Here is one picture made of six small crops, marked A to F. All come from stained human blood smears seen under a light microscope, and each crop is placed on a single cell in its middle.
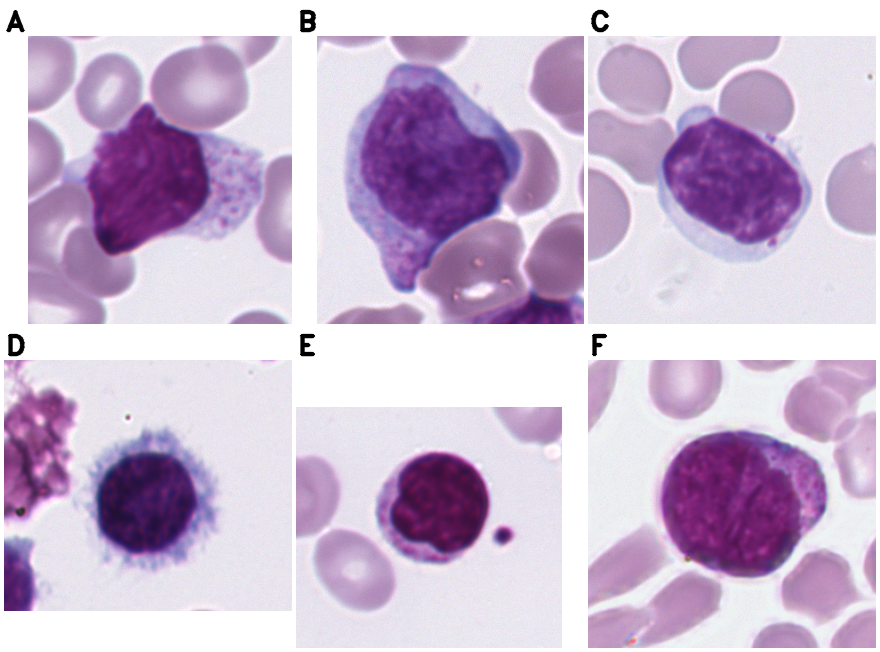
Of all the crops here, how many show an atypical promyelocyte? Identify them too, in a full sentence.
Of all the crops, two show atypical promyelocytes, those being B and F.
